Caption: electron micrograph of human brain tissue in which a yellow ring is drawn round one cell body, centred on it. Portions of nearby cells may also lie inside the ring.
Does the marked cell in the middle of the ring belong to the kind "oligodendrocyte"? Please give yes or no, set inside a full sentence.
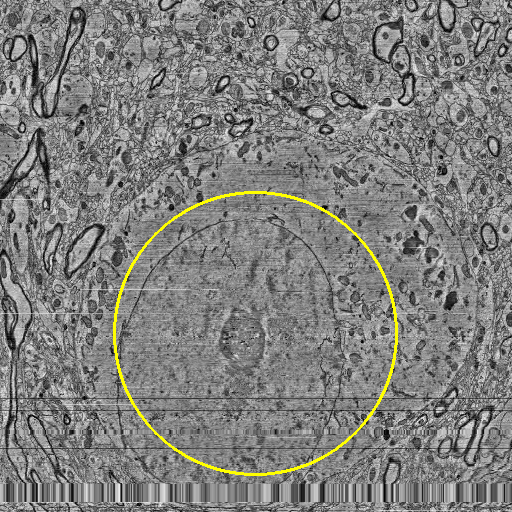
No, the marked cell that the ring is centred on in the picture is of another kind.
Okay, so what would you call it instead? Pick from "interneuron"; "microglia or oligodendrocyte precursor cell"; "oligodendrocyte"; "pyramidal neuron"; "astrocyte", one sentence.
The cell marked by the ring is a pyramidal neuron.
